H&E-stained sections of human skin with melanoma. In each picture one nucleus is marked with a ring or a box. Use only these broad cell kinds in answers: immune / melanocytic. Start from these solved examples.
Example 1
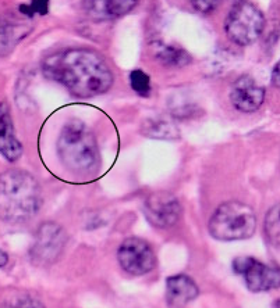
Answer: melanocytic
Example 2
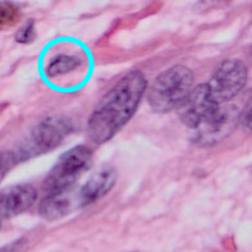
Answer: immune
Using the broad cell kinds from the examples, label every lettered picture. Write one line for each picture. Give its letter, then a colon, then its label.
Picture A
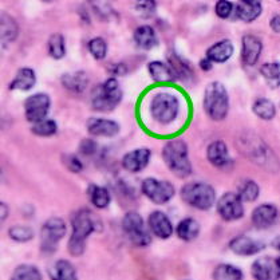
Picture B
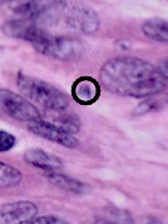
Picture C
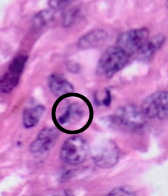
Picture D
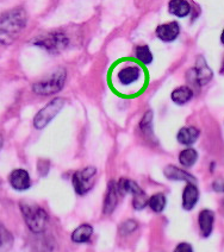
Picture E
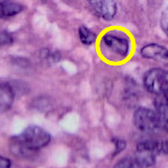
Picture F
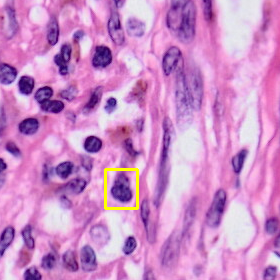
A: immune
B: immune
C: melanocytic
D: immune
E: immune
F: immune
